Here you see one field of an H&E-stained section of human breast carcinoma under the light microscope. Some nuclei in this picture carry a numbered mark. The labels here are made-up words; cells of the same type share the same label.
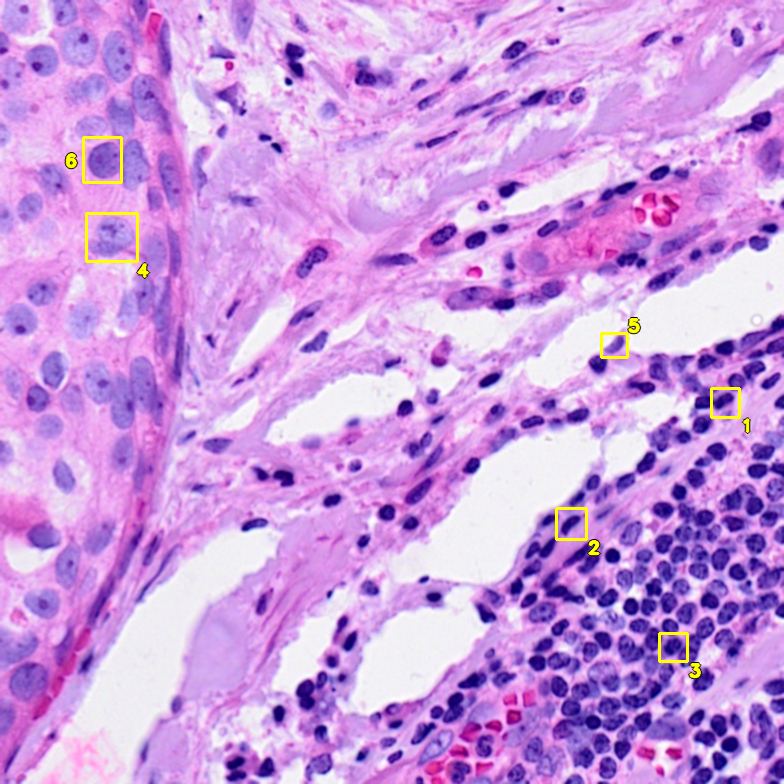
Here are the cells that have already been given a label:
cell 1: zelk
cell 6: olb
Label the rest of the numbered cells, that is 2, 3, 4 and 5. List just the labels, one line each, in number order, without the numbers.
zelk
zelk
olb
zelk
